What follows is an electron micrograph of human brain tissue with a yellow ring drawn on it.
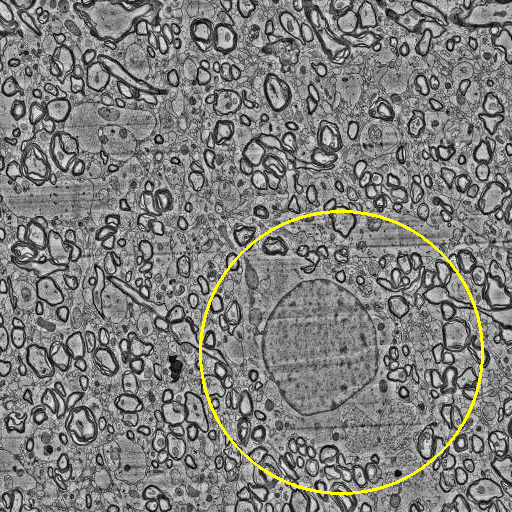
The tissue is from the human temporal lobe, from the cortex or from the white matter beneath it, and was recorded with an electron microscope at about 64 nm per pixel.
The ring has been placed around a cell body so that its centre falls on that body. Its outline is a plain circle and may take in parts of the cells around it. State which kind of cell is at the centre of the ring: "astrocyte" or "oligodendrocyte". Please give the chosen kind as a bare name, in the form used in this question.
astrocyte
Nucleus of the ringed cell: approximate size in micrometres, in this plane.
Approximately 9 x 8 micrometres in this plane.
